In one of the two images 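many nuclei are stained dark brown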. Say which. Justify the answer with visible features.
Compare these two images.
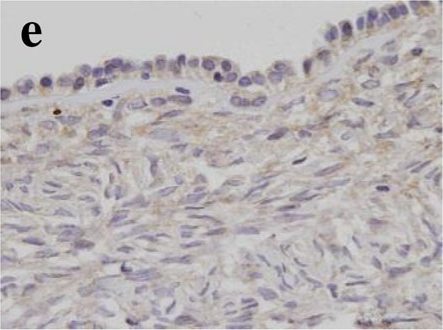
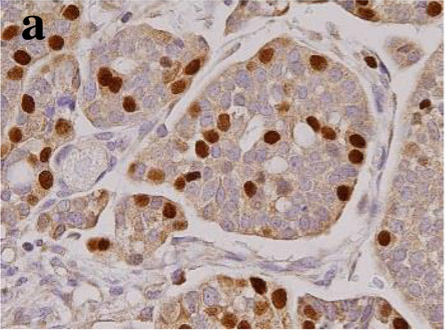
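Second image: numerous nuclei in the tumor cell nests are solid dark brown among blue ones. On this evidence: the second image.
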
